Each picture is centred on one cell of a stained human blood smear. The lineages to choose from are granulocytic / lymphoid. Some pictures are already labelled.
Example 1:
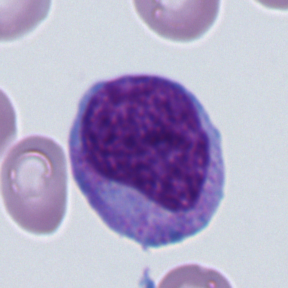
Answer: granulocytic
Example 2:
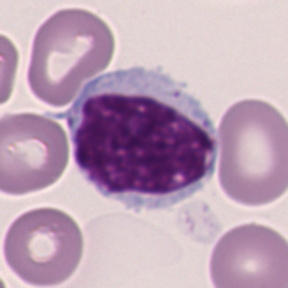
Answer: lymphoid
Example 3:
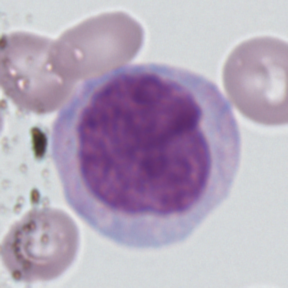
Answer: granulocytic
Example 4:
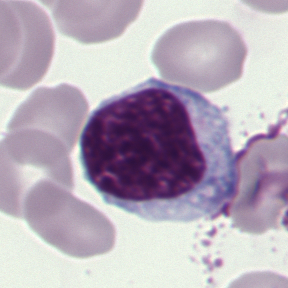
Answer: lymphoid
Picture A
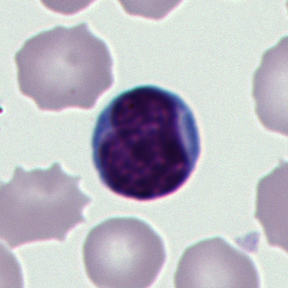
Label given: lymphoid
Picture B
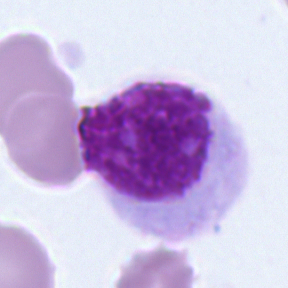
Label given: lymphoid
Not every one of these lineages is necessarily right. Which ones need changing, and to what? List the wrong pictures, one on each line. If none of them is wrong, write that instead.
No label is wrong.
